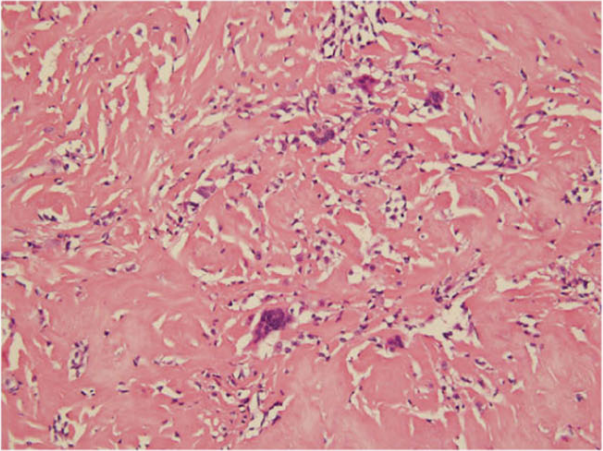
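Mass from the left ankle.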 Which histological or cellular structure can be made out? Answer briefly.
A: highly collagenized stroma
